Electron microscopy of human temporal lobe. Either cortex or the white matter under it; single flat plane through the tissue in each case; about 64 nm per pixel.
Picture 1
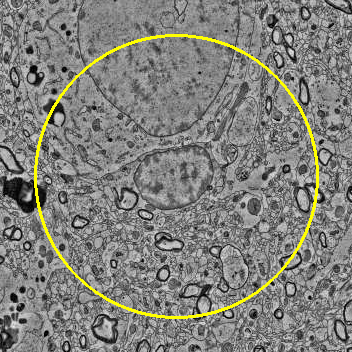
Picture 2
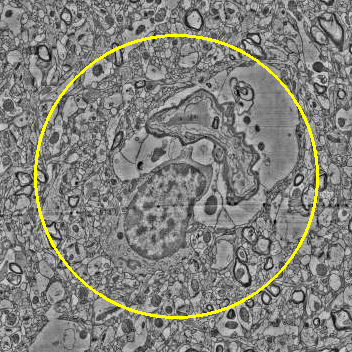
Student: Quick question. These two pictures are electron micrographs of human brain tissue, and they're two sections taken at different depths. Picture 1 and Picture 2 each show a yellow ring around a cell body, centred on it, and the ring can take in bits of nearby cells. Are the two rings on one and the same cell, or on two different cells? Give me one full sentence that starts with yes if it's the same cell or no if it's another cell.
No, the two rings enclose two cells that are not the same.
